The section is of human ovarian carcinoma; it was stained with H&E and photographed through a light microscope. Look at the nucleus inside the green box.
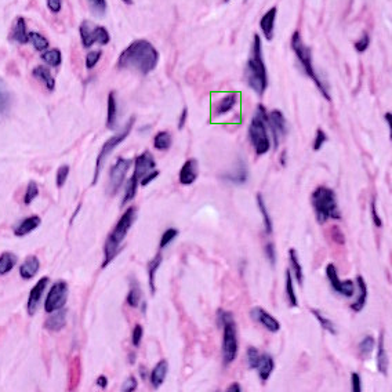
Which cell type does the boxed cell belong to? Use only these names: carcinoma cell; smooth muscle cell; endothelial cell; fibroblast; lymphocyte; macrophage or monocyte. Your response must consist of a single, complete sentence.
Considered by cell type, the boxed cell is a smooth muscle cell.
